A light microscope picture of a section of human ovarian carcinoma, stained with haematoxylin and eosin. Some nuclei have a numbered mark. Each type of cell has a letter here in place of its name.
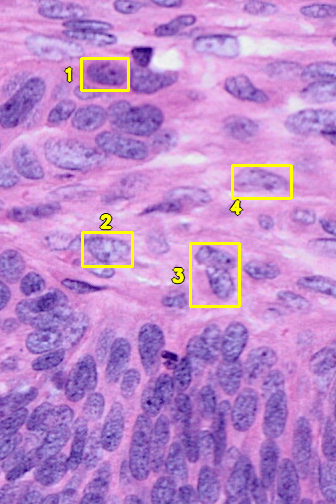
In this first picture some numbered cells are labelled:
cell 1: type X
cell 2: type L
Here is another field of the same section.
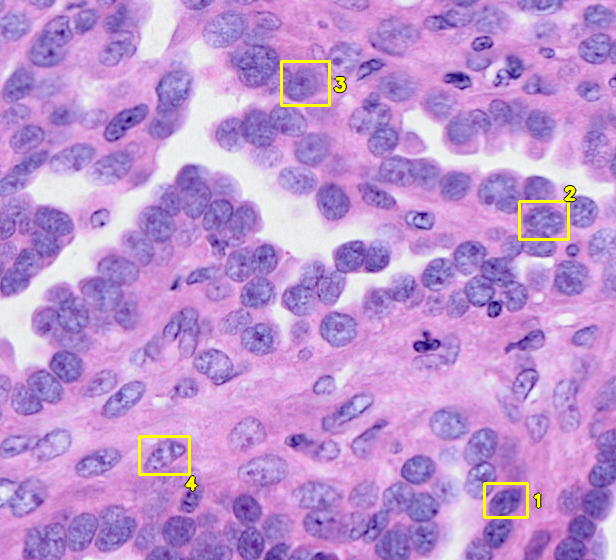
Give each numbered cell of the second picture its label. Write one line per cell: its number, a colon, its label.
1: type X
2: type X
3: type X
4: type L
